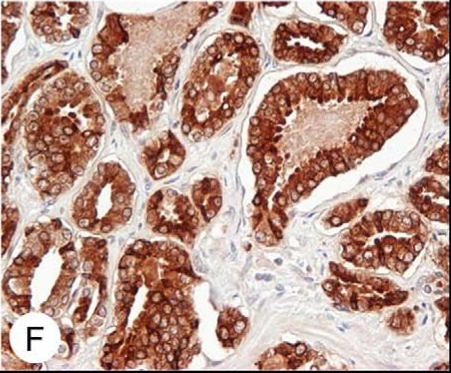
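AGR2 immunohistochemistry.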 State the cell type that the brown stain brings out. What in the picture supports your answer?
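Brown stain fills the cells lining crowded small glands. The surrounding pale stroma is largely unstained. The stained cells form gland lumens.
Answer: cancer epithelial cells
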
